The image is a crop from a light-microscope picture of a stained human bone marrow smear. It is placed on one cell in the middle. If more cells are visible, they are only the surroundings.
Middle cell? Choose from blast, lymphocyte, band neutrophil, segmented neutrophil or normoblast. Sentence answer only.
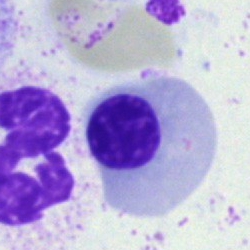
The cell the crop is centered on is a normoblast.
